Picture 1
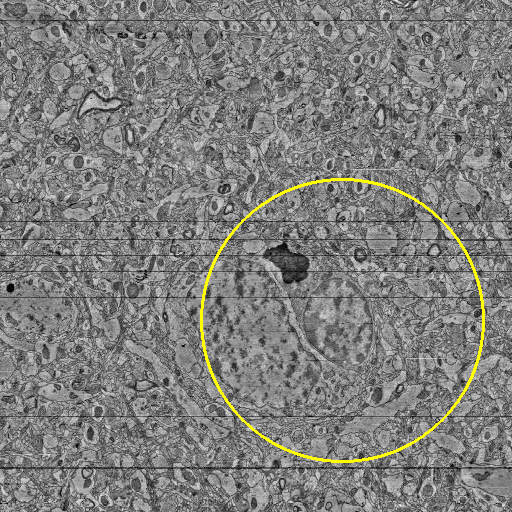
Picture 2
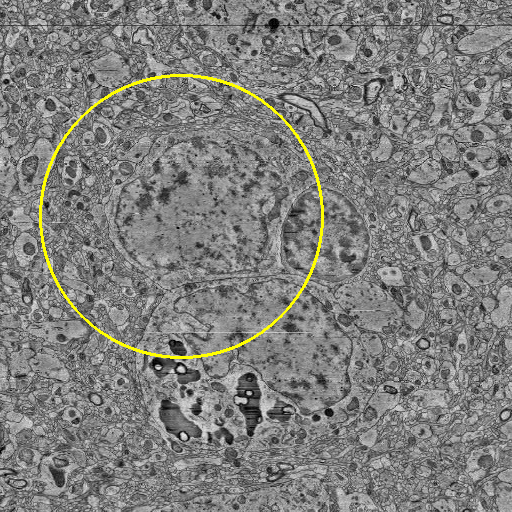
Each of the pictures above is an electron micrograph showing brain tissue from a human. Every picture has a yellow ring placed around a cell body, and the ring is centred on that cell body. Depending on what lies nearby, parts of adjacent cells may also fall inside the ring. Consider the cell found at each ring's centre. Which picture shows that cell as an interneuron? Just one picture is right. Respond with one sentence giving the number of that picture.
The picture showing the wanted cell at the ring's centre is number 2.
